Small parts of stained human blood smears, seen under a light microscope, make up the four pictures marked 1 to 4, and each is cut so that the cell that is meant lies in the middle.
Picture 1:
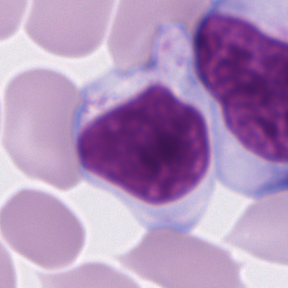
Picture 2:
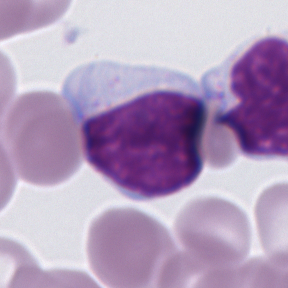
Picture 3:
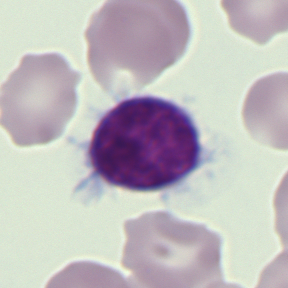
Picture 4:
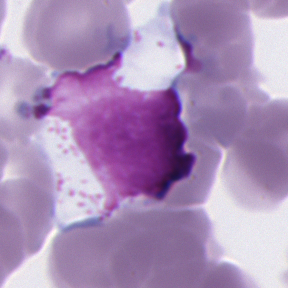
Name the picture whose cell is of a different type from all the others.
3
